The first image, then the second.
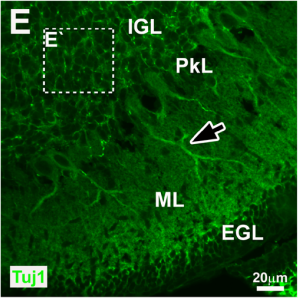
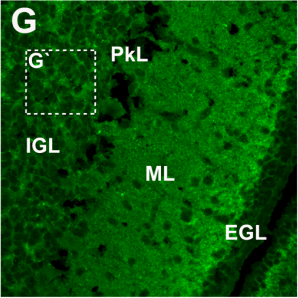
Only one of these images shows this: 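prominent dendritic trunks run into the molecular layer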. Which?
The first image.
